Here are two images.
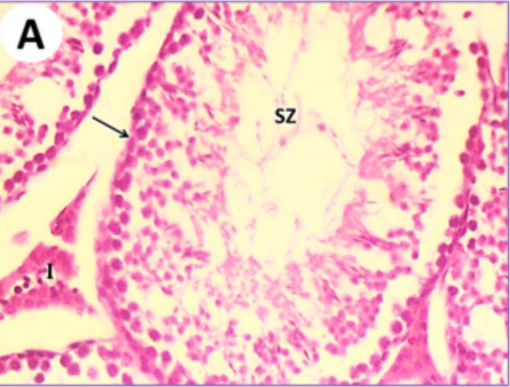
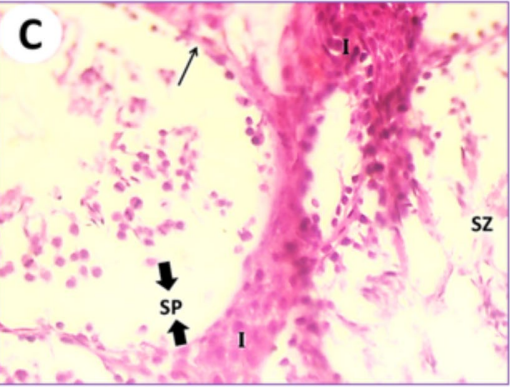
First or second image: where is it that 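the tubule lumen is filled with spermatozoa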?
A: The first image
